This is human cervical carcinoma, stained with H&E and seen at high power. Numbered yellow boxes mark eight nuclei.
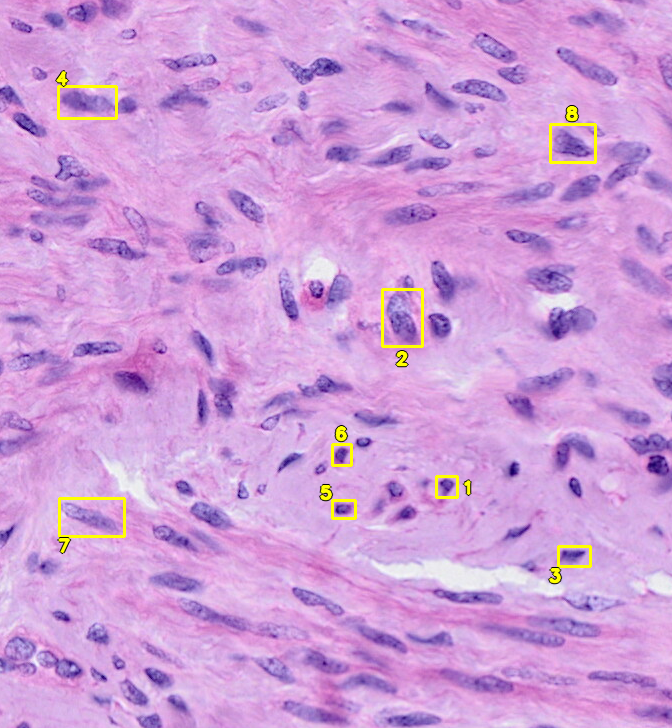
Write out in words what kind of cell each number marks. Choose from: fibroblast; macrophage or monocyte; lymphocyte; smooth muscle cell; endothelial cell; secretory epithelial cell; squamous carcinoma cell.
Cell 1 is a smooth muscle cell, cell 2 is an endothelial cell, cell 3 is a fibroblast, cell 4 is a fibroblast, cell 5 is a smooth muscle cell, cell 6 is a smooth muscle cell, cell 7 is a smooth muscle cell and cell 8 is a fibroblast.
